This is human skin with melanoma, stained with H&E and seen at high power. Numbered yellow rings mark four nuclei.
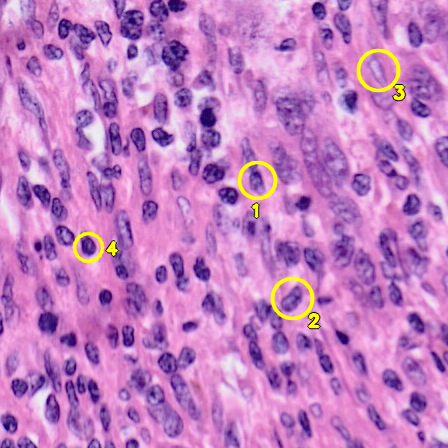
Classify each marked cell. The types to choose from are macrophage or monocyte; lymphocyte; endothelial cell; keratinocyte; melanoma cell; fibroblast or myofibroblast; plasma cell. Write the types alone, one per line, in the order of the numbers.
lymphocyte
lymphocyte
endothelial cell
lymphocyte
